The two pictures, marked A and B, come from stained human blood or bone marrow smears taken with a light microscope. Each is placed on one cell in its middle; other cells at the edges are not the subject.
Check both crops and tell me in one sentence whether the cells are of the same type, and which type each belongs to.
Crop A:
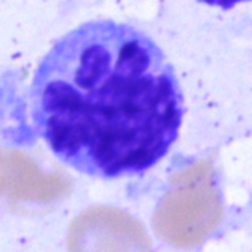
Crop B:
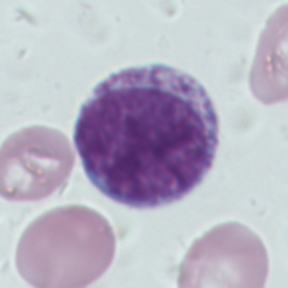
No, a monocyte is what occupies crop A, and a myelocyte is what occupies crop B.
